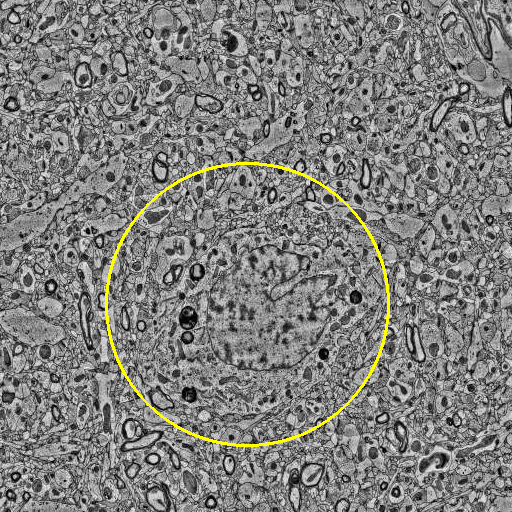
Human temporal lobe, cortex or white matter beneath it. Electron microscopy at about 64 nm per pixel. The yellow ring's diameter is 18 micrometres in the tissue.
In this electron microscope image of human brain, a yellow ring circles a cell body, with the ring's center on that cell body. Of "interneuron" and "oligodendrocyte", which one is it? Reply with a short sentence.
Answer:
It is an interneuron at the center of the ring.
